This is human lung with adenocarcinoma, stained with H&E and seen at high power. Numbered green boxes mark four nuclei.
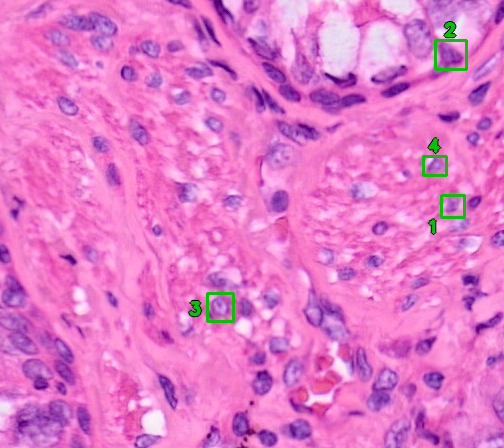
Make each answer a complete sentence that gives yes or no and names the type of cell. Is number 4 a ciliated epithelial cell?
No, cell 4 is to be read as a smooth muscle cell or pericyte, not a ciliated epithelial cell.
